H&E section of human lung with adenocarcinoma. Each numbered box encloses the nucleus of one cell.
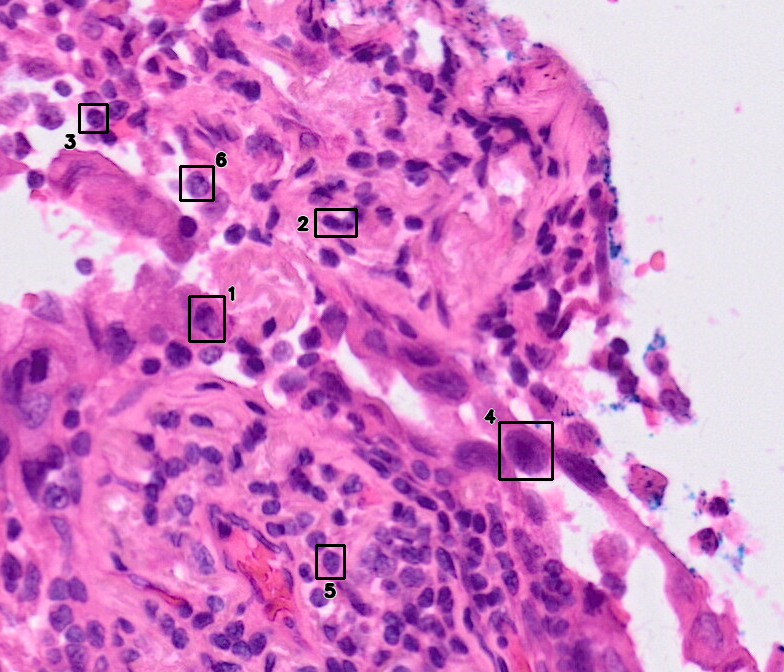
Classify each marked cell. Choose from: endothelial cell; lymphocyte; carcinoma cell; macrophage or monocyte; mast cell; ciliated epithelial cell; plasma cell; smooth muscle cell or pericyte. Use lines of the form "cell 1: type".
cell 1: carcinoma cell
cell 2: lymphocyte
cell 3: lymphocyte
cell 4: carcinoma cell
cell 5: lymphocyte
cell 6: lymphocyte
